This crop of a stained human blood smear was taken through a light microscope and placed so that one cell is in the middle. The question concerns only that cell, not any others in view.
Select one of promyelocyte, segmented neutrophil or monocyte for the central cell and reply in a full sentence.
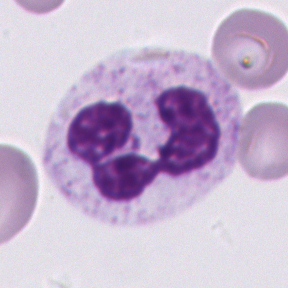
The cell at the heart of this crop is a segmented neutrophil.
